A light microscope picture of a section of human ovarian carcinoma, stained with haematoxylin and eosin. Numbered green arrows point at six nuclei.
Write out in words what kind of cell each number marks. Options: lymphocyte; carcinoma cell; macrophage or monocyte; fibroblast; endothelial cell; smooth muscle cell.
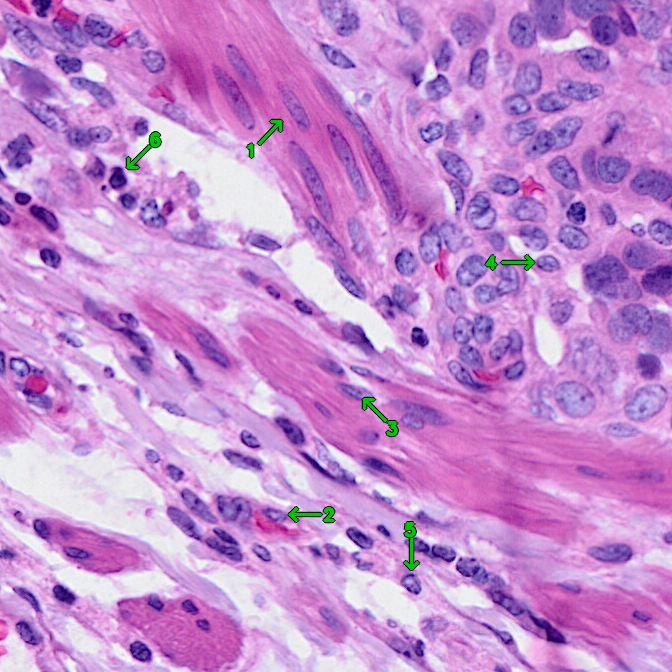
Cells 1 and 3 are smooth muscle cells. Cell 2 is an endothelial cell. Cells 4 and 5 are macrophages or monocytes. Cell 6 is a lymphocyte.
